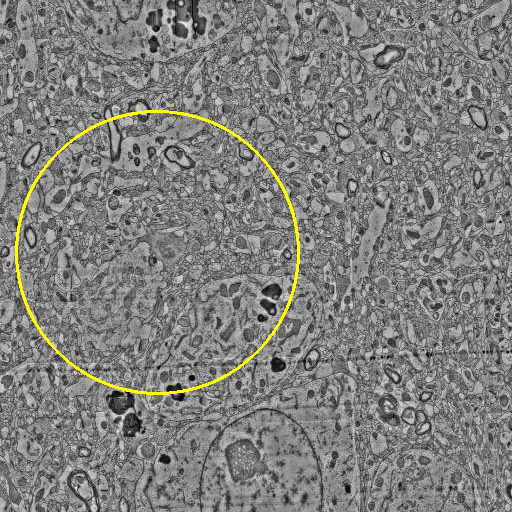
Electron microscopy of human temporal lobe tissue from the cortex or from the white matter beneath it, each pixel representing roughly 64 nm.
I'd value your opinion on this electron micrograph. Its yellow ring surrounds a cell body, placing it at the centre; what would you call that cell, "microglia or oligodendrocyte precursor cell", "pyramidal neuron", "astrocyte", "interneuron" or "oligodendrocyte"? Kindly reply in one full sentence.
It is an oligodendrocyte that sits centred within the yellow ring in this micrograph.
